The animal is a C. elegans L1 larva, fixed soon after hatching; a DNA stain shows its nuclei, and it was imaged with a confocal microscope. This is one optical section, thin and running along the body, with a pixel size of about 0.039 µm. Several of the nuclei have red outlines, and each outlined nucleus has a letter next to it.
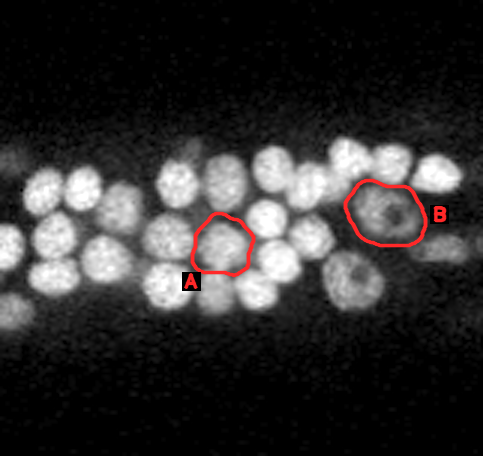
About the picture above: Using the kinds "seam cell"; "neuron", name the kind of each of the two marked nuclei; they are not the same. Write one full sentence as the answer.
A belongs to a neuron and B to a seam cell.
